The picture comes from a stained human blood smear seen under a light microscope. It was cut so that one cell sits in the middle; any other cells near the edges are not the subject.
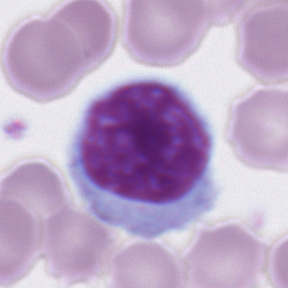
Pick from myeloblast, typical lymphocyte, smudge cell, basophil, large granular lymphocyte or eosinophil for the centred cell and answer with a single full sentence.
In the crop, the cell of interest at the centre is a typical lymphocyte.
